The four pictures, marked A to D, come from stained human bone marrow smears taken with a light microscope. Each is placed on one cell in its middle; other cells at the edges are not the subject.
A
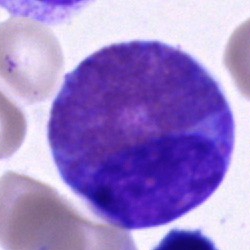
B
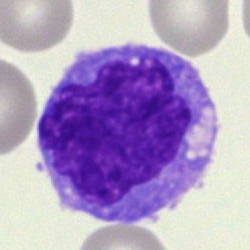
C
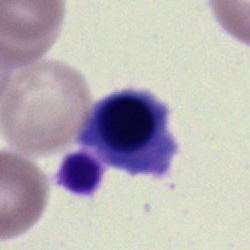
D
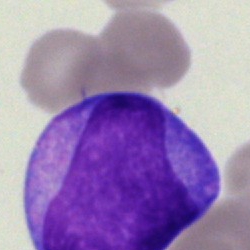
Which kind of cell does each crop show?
A: eosinophil
B: monocyte
C: erythroblast
D: blast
